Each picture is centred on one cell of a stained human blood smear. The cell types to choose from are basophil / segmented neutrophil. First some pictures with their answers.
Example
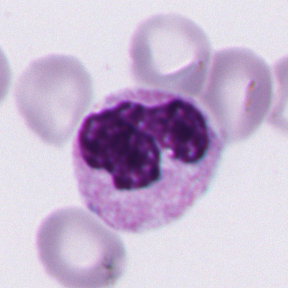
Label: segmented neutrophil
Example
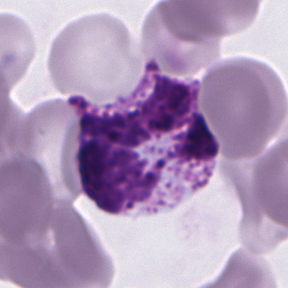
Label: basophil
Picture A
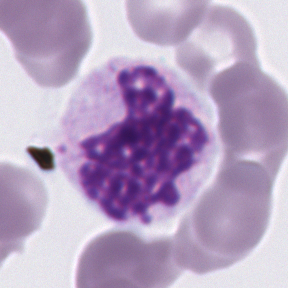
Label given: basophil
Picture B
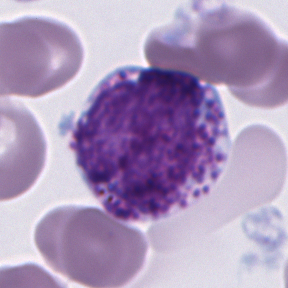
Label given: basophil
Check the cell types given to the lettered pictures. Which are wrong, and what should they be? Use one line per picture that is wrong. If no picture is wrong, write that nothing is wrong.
A should be segmented neutrophil, not basophil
